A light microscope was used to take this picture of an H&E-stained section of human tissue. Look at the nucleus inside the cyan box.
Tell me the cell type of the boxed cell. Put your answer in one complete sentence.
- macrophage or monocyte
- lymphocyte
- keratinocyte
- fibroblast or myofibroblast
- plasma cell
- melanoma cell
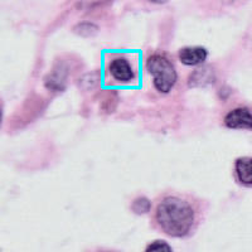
Assigned to a cell type, the boxed cell is a lymphocyte.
